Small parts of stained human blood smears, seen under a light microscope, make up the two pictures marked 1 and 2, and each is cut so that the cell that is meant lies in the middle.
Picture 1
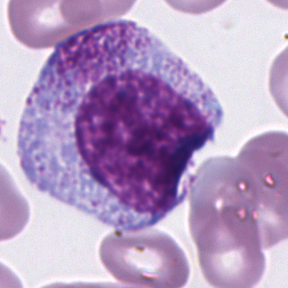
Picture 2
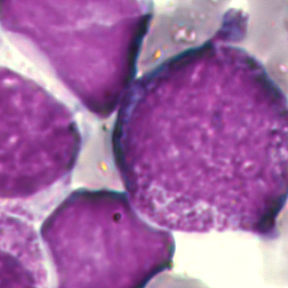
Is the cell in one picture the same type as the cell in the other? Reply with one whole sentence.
Yes, they are the same type: both are promyelocytes.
